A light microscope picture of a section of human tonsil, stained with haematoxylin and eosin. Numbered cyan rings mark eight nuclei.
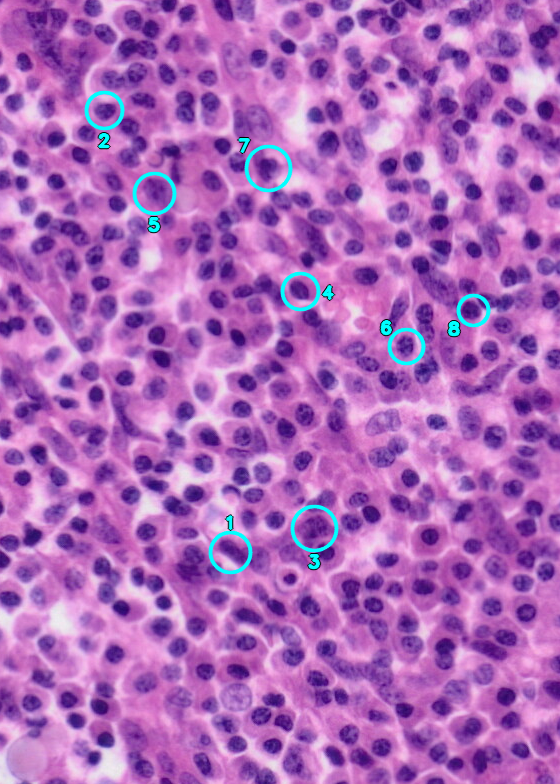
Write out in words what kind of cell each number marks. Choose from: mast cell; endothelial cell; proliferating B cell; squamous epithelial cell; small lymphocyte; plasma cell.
Cells 1, 3, 5 and 7 are squamous epithelial cells. Cells 2, 4, 6 and 8 are plasma cells.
